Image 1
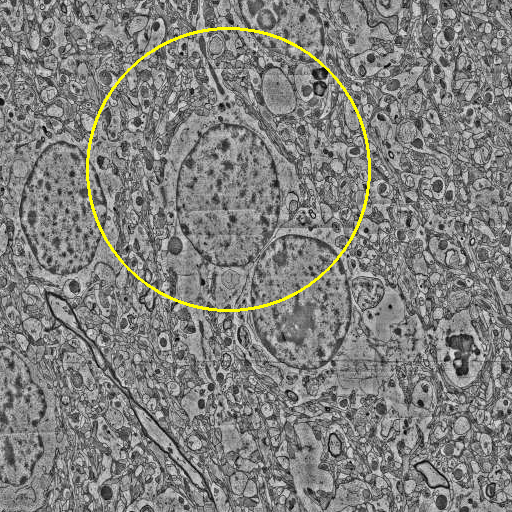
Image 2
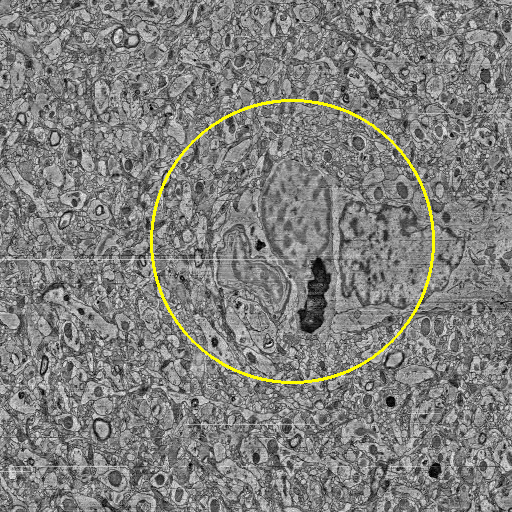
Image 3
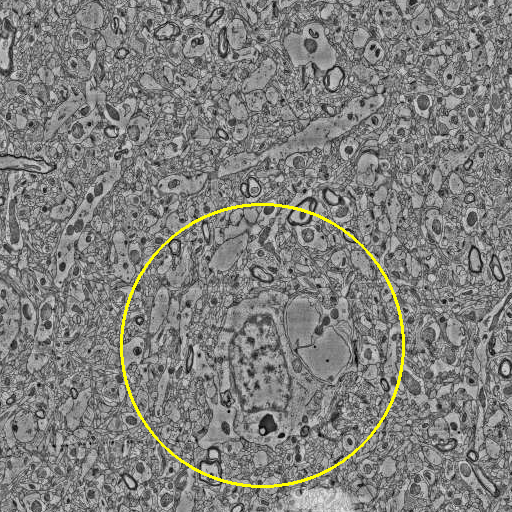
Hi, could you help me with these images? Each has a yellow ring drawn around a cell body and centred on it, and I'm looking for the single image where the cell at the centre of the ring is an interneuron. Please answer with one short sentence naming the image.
It is Image 3 that has it at the centre of its ring.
